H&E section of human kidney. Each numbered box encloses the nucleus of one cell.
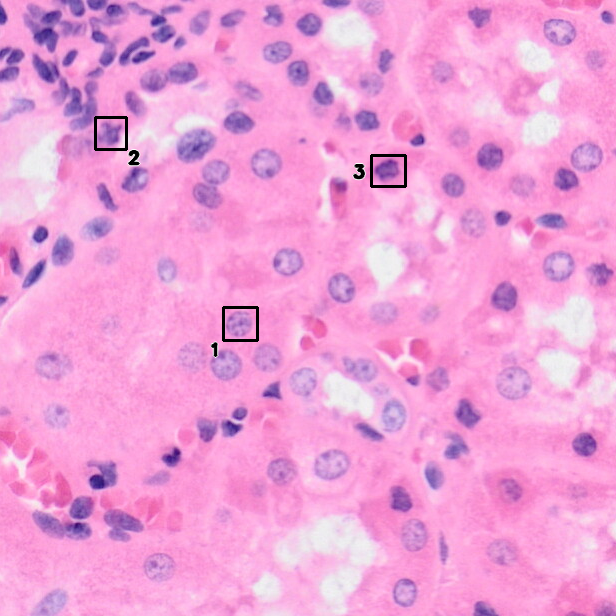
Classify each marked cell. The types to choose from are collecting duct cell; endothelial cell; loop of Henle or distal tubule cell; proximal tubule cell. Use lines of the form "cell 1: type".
cell 1: proximal tubule cell
cell 2: loop of Henle or distal tubule cell
cell 3: proximal tubule cell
